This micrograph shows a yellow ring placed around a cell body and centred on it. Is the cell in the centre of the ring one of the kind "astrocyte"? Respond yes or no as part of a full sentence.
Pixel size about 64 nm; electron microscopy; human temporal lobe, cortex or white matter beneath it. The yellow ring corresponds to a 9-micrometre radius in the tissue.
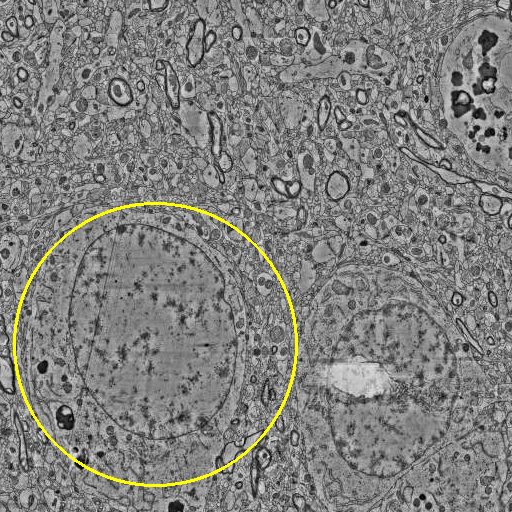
No, the cell in the centre of the ring within the picture belongs to another kind.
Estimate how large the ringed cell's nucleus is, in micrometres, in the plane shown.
The ringed cell's nucleus measures approximately 14 by 11 micrometres in this plane.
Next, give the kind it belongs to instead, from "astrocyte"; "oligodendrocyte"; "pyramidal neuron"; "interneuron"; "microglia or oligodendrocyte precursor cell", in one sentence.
The cell in question here is a pyramidal neuron.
